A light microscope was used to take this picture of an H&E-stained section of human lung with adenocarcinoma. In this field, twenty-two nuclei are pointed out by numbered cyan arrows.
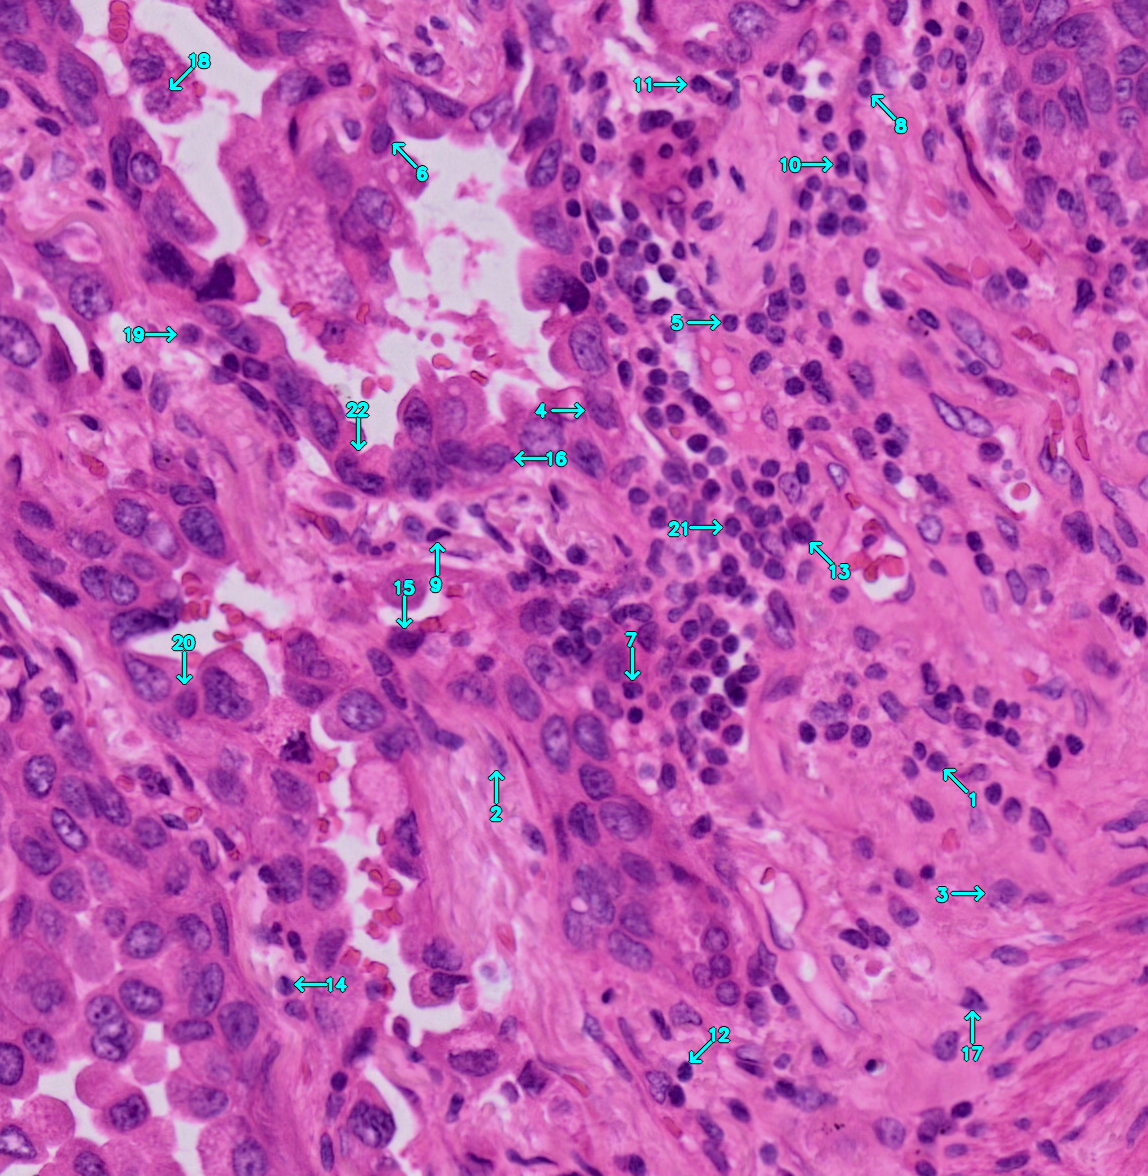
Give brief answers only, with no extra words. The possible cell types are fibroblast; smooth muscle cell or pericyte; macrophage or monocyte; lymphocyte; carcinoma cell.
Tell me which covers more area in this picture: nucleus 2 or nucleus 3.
3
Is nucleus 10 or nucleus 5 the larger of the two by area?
10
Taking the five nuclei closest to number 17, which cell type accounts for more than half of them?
smooth muscle cell or pericyte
